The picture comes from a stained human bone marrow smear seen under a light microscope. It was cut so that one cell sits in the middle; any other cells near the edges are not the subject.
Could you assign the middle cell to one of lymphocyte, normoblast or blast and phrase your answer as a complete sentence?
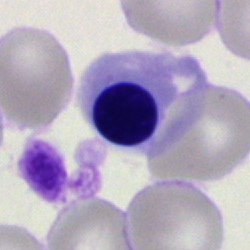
The centered cell in this crop is a normoblast.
